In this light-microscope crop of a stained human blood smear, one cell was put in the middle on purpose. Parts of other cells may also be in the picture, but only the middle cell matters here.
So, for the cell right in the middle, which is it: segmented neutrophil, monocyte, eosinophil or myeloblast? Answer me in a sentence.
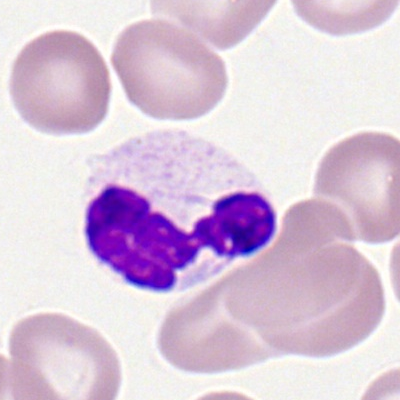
Centrally within this crop lies a segmented neutrophil.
